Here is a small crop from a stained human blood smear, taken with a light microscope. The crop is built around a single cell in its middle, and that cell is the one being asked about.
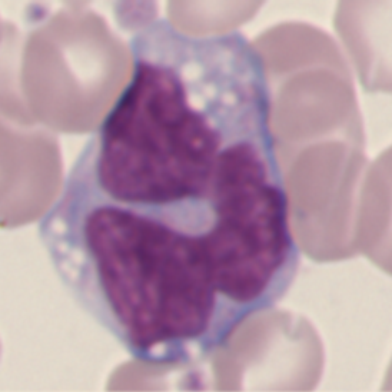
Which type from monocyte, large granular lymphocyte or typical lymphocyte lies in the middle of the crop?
monocyte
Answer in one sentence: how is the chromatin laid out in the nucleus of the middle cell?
Check the chromatin: it is fine and not coarsely clumped.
